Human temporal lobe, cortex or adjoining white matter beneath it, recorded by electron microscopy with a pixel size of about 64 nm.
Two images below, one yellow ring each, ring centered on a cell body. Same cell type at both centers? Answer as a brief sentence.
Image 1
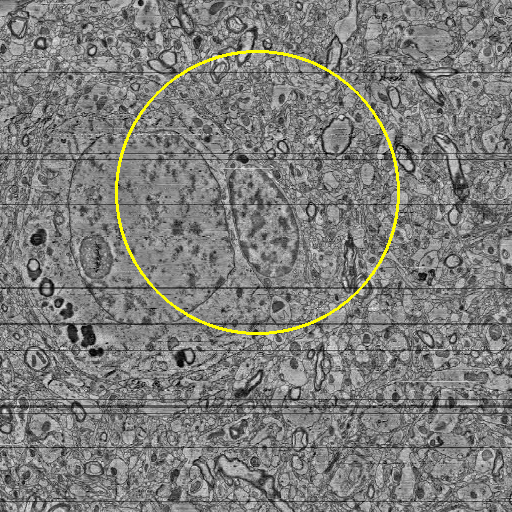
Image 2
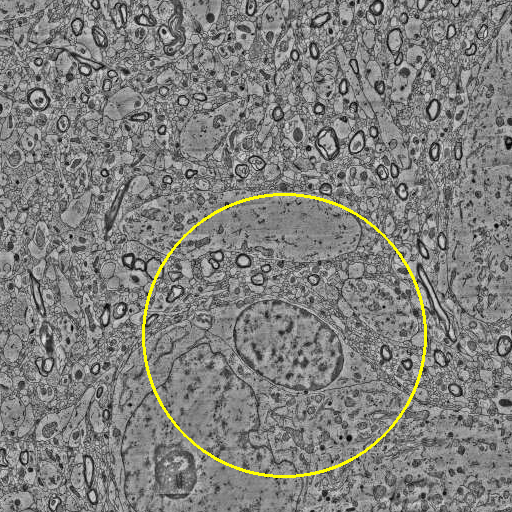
No, the cells are of two separate types.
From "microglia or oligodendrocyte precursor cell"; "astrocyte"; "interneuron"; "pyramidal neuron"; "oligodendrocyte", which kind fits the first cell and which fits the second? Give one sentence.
The cell marked in the first picture is an oligodendrocyte, and the one marked in the second is a microglial cell or oligodendrocyte precursor cell.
